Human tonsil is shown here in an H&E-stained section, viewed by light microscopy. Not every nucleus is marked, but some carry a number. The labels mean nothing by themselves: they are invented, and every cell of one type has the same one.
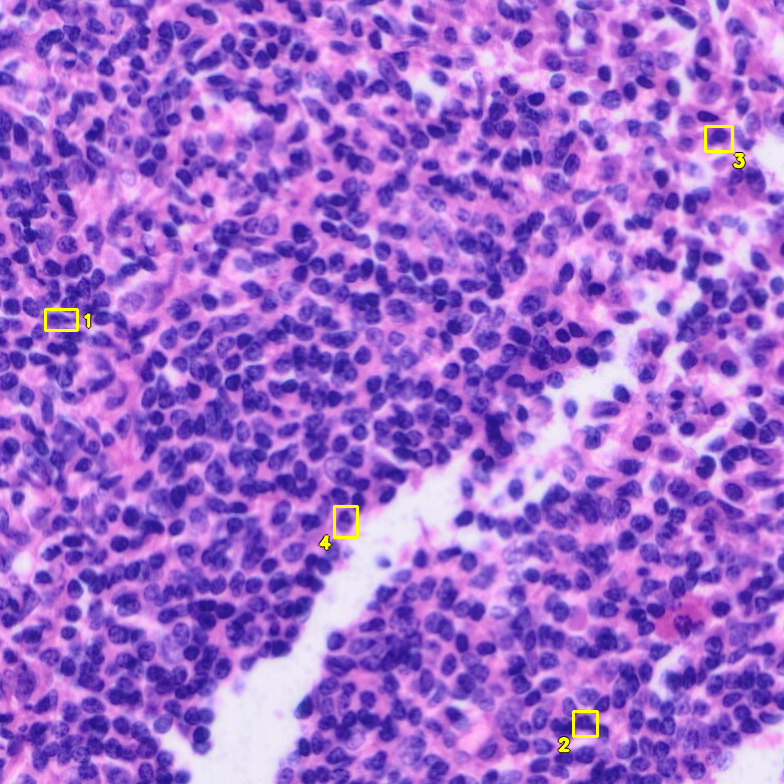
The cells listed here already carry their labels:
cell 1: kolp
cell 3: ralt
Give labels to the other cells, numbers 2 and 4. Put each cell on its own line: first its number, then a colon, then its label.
2: kolp
4: kolp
